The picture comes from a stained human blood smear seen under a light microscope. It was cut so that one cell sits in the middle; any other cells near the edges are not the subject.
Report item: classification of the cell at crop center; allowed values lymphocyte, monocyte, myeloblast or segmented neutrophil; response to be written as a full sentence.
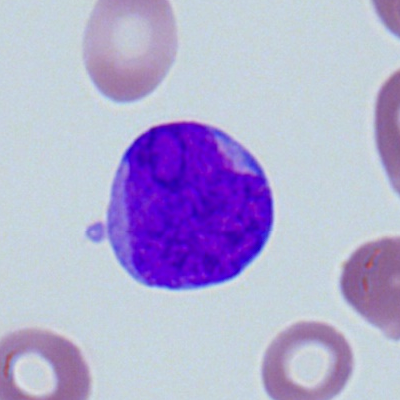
The middle position in this crop is taken by a myeloblast.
